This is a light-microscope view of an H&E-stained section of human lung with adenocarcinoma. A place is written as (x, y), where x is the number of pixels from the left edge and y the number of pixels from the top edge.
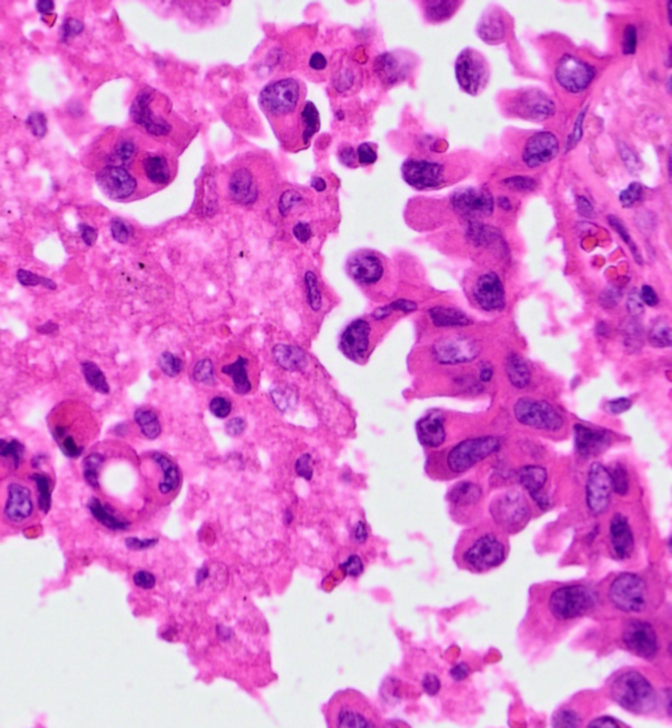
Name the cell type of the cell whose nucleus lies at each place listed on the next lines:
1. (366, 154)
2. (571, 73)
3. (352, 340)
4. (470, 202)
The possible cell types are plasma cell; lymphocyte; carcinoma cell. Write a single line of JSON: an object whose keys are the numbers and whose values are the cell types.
{"1": "lymphocyte", "2": "carcinoma cell", "3": "carcinoma cell", "4": "carcinoma cell"}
